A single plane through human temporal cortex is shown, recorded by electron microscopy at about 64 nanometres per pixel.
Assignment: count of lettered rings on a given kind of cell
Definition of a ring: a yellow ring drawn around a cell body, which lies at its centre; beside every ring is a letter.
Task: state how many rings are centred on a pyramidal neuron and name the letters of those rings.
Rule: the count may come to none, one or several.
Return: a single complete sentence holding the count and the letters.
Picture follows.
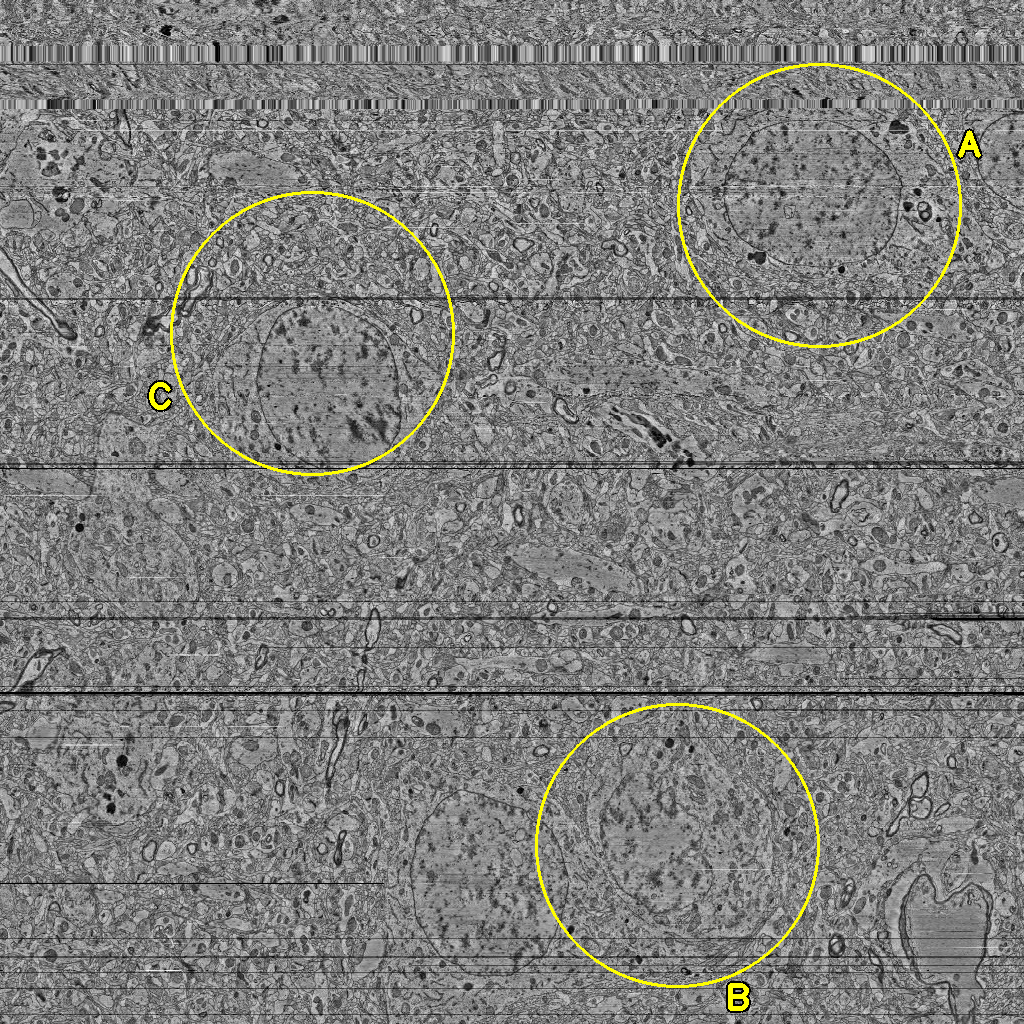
Every ring in the group lettered A and C is centred on a pyramidal neuron, and the group numbers two.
